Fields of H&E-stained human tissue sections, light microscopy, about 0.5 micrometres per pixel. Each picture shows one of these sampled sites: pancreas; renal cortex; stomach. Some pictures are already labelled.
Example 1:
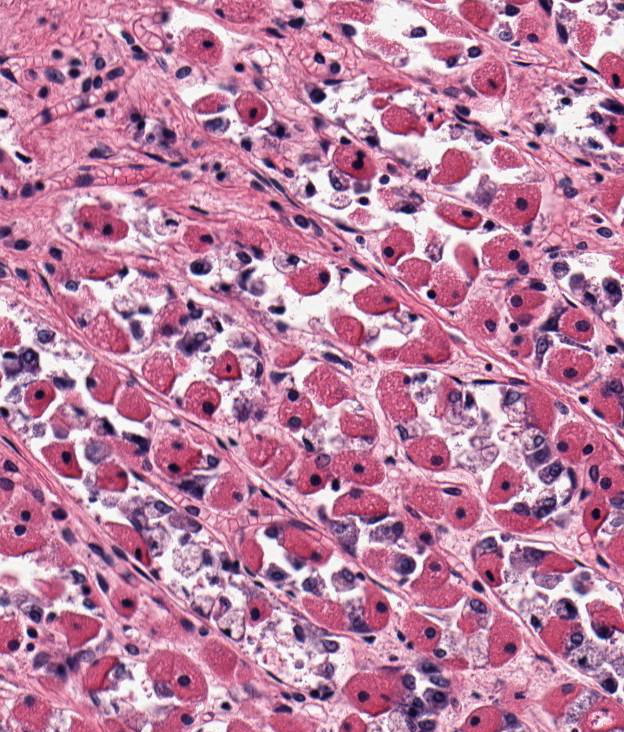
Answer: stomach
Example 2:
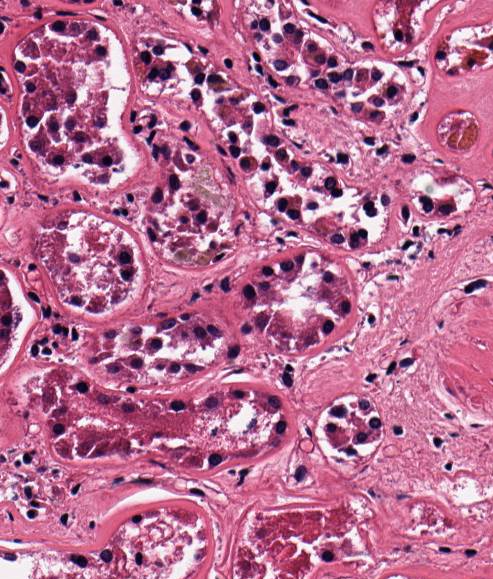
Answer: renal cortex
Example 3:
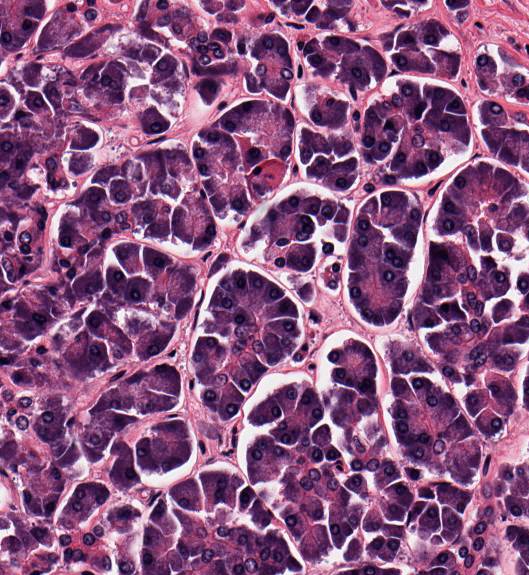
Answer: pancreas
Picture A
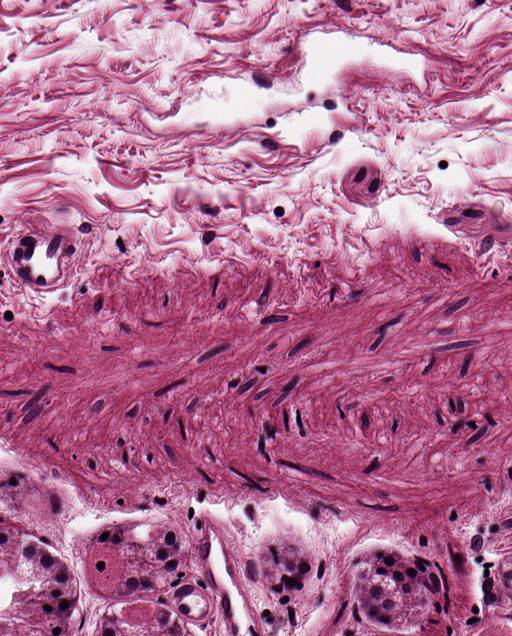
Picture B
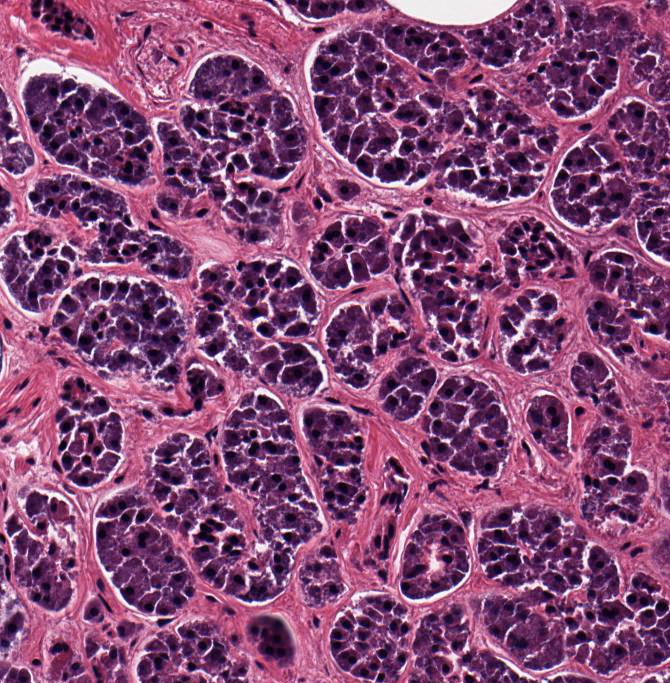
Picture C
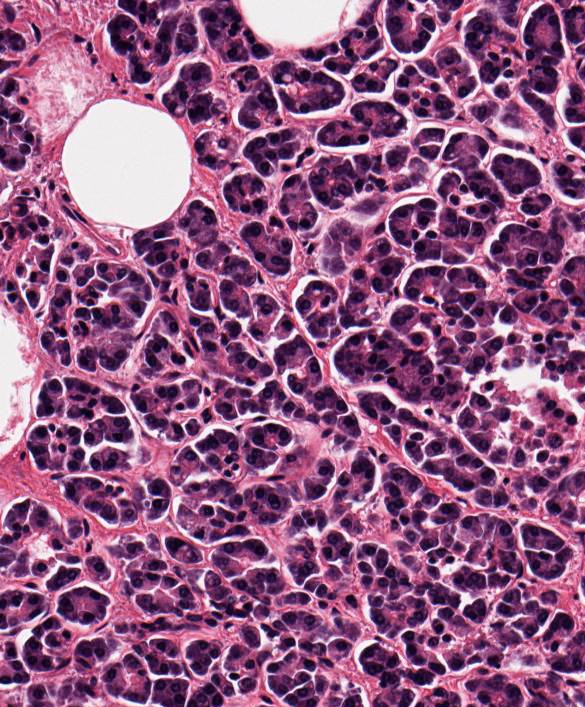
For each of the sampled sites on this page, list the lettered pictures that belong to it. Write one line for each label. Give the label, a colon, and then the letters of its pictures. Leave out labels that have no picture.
pancreas: B, C
stomach: A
